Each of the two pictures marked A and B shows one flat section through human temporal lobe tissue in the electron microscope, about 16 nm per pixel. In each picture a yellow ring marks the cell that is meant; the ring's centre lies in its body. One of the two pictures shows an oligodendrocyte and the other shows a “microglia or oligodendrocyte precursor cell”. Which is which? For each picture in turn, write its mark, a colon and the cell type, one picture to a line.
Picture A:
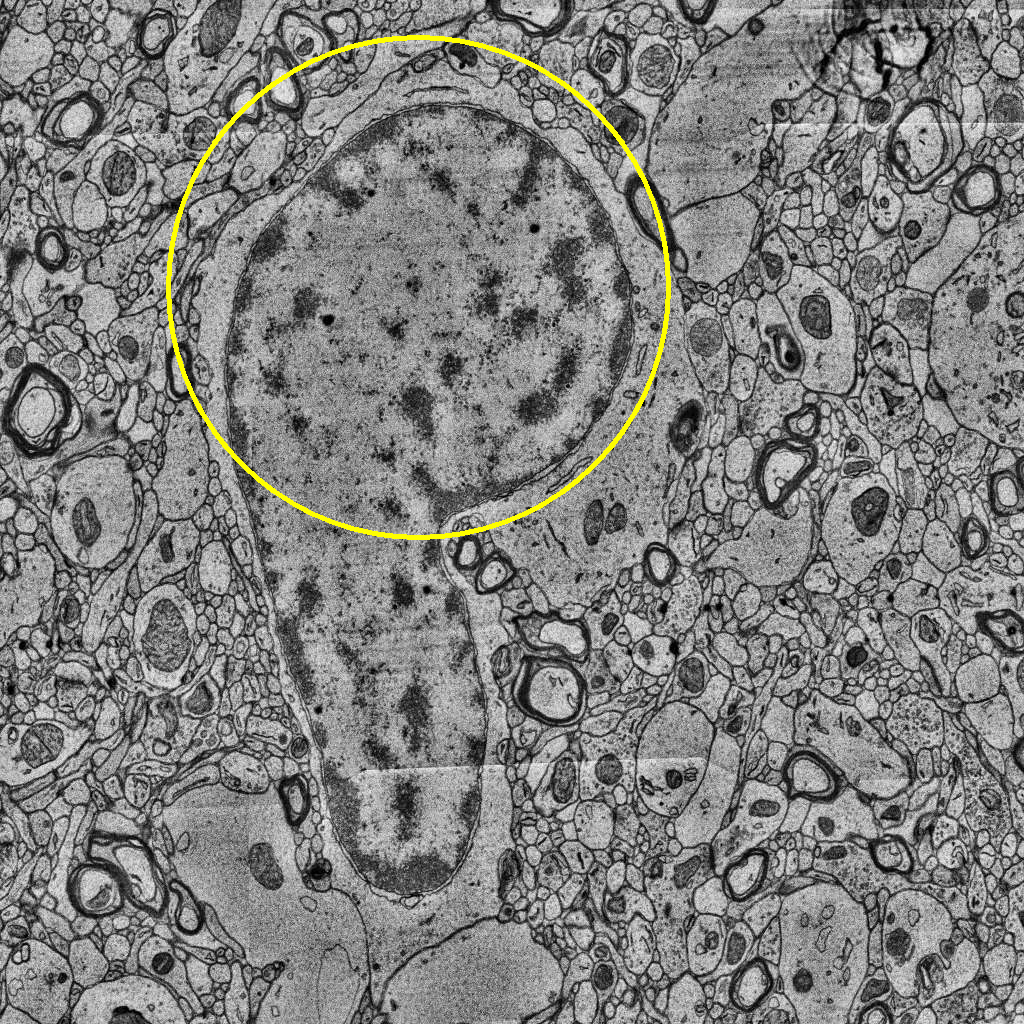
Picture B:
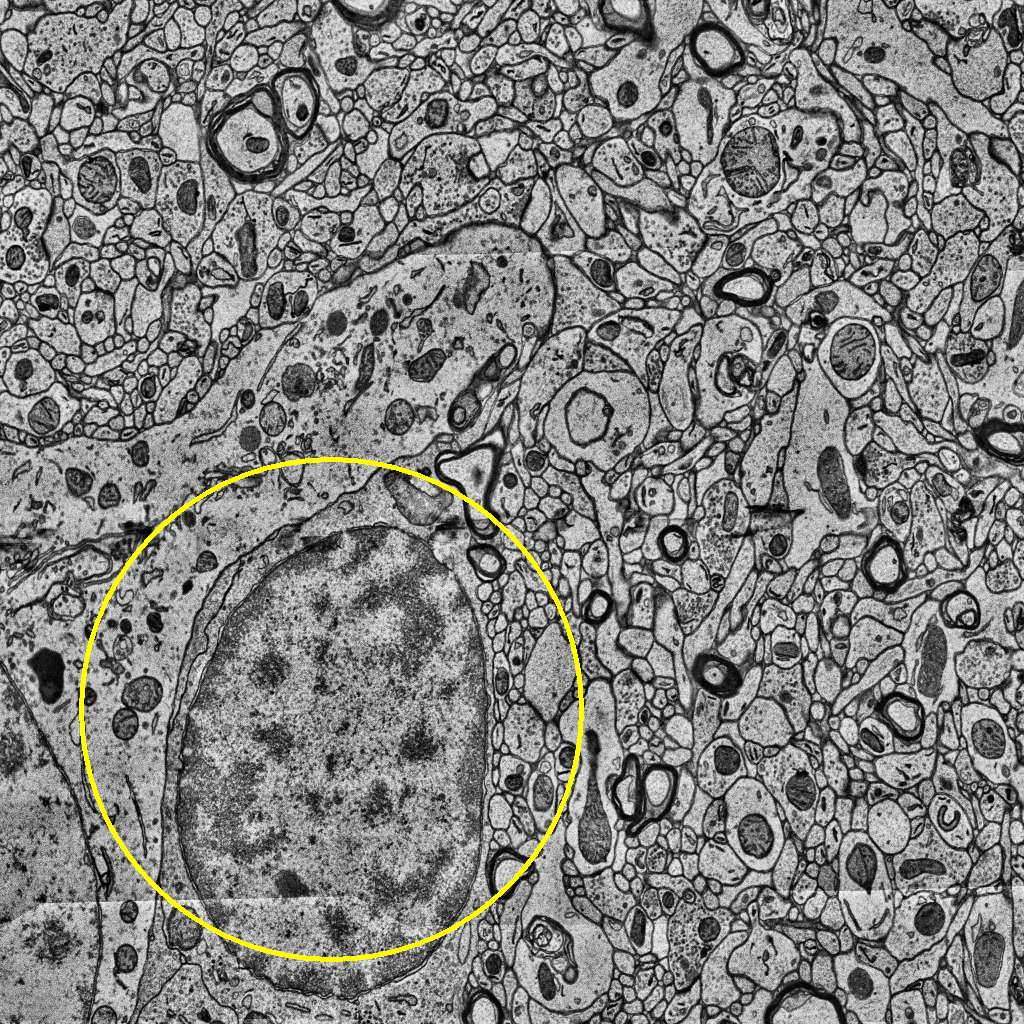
A: microglia or oligodendrocyte precursor cell
B: oligodendrocyte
